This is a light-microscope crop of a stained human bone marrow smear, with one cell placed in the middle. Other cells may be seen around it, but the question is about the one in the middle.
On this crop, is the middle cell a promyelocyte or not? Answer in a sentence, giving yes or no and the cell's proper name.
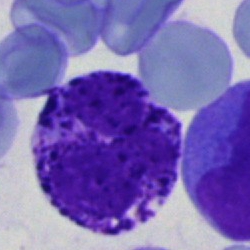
No, the central cell is a basophil, not a promyelocyte.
